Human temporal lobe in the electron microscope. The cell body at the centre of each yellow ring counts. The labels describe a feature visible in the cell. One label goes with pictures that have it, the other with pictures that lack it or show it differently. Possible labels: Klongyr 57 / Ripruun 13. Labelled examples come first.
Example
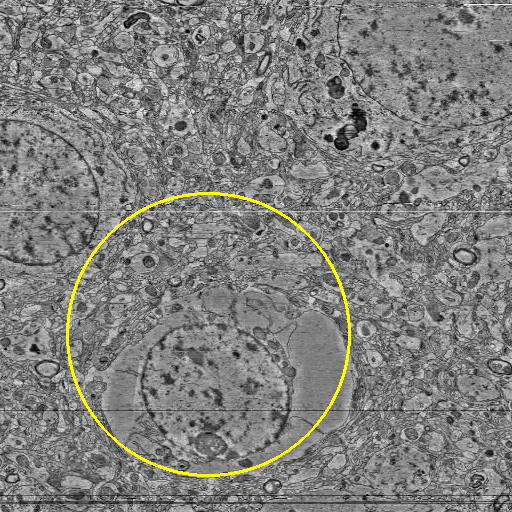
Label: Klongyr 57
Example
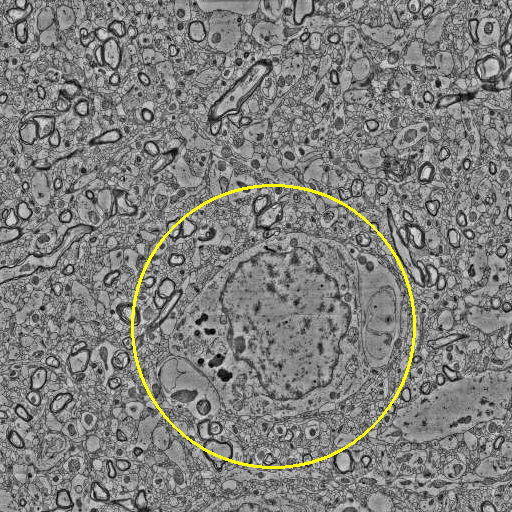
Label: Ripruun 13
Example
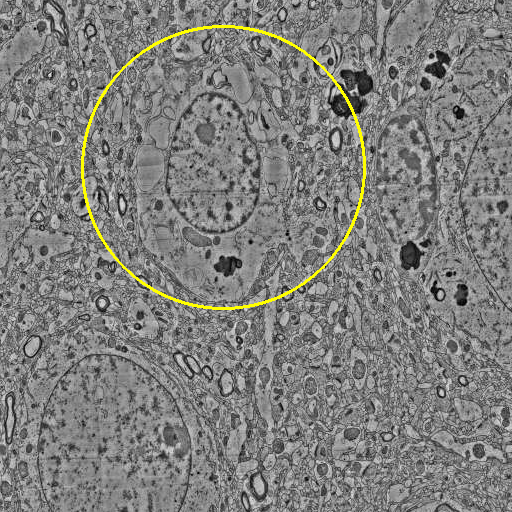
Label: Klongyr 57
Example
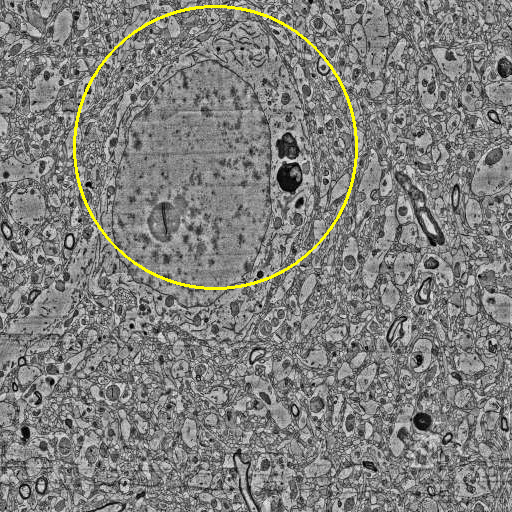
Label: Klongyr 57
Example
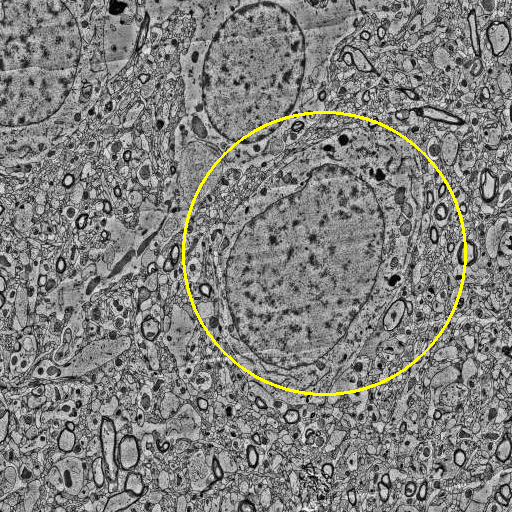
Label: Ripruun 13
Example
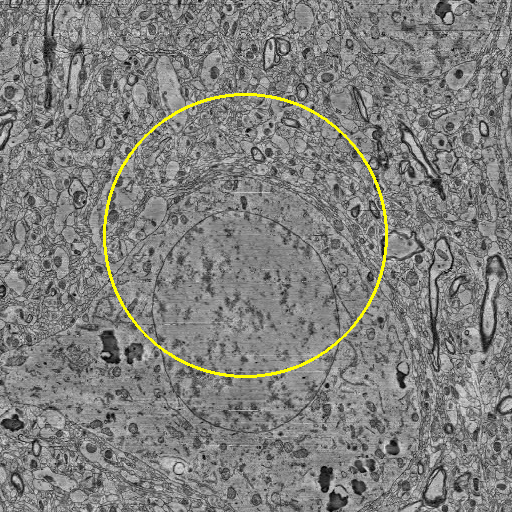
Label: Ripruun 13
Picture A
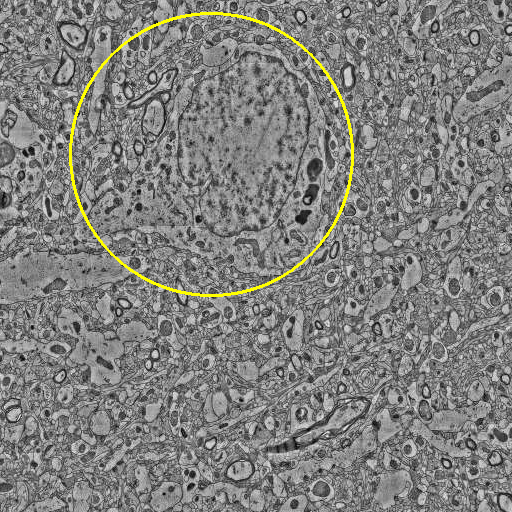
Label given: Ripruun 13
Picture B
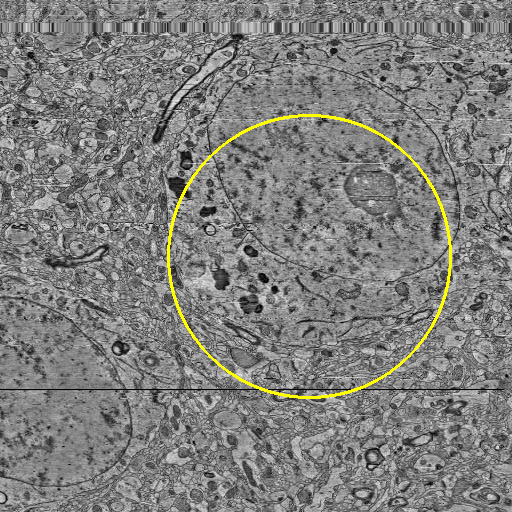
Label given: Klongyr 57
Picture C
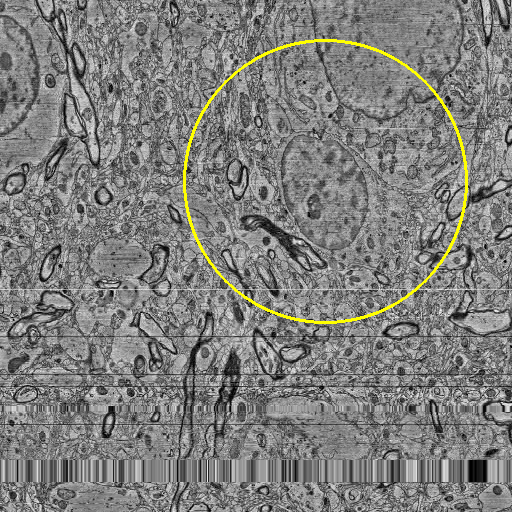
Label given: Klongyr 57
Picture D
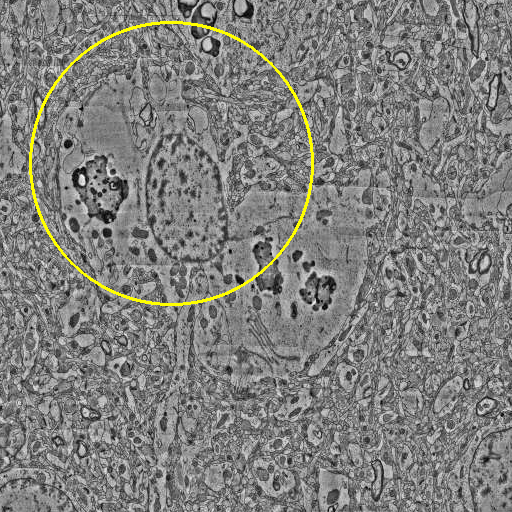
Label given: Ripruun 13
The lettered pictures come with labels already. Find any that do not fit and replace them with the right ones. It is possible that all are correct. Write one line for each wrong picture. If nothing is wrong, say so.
All correct.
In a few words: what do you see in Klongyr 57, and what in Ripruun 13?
Klongyr 57: nucleolus seen; Ripruun 13: no nucleolus seen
